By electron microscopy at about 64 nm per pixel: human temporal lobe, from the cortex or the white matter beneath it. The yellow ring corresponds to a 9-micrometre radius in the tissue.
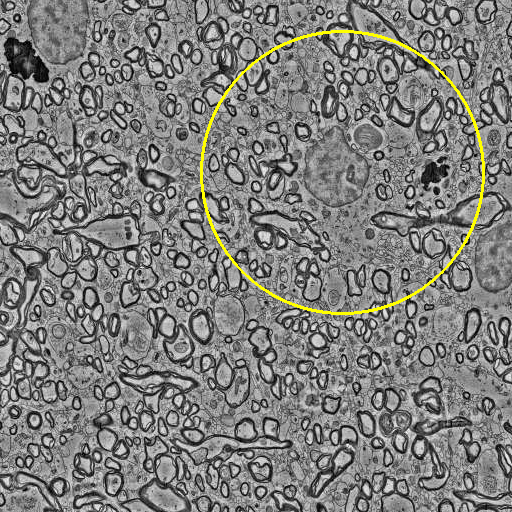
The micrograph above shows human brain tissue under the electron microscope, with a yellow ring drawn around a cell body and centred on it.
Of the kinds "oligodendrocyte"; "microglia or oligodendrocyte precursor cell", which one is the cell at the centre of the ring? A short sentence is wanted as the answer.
The one at the centre of the ring is an oligodendrocyte.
